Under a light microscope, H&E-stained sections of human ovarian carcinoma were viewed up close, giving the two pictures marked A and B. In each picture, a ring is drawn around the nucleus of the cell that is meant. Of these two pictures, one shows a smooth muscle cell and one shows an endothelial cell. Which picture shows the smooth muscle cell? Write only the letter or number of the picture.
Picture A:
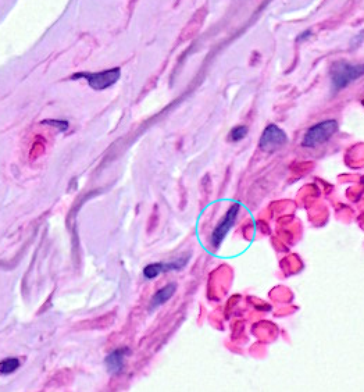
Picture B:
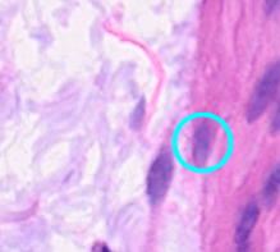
B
